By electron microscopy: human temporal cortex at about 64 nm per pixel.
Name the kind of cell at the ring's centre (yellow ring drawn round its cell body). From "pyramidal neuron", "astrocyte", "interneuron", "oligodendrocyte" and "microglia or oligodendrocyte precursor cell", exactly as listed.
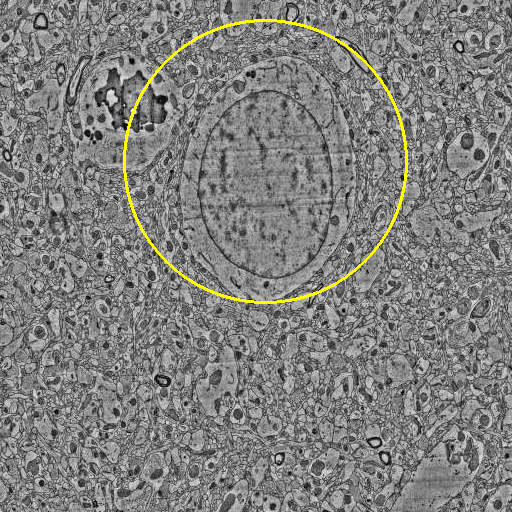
pyramidal neuron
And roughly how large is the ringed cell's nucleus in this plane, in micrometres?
In this plane the nucleus measures roughly 12 by 9 micrometres.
